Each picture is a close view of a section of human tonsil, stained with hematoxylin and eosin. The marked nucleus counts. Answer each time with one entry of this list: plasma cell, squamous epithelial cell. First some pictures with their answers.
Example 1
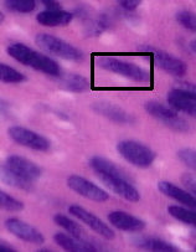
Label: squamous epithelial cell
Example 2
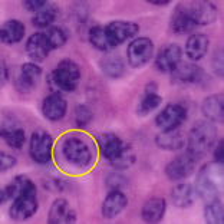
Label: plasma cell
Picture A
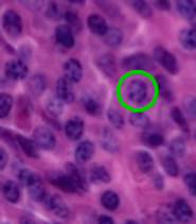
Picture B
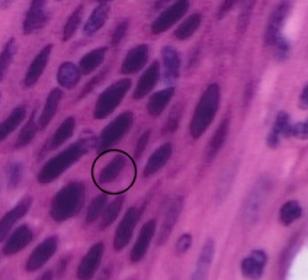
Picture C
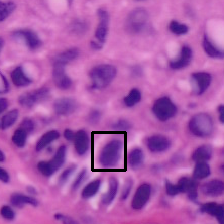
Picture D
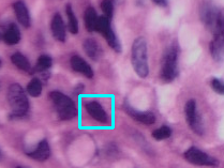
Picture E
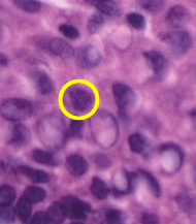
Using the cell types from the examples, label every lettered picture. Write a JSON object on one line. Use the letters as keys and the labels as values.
{"A": "plasma cell", "B": "squamous epithelial cell", "C": "squamous epithelial cell", "D": "squamous epithelial cell", "E": "squamous epithelial cell"}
